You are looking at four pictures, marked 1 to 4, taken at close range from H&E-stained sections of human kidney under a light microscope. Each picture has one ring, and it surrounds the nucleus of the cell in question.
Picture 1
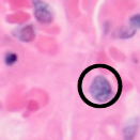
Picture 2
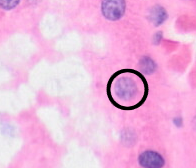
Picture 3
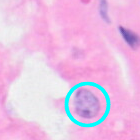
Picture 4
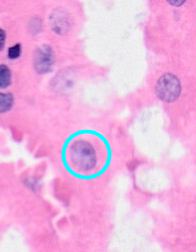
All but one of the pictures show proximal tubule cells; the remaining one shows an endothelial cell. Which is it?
1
